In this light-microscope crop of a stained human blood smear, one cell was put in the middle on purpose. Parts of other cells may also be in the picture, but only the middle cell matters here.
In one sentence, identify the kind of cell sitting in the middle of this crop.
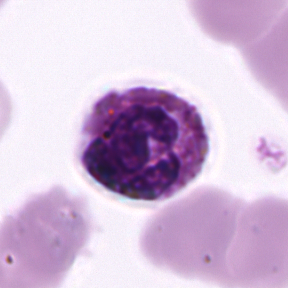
In the center of this field lies an eosinophil.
